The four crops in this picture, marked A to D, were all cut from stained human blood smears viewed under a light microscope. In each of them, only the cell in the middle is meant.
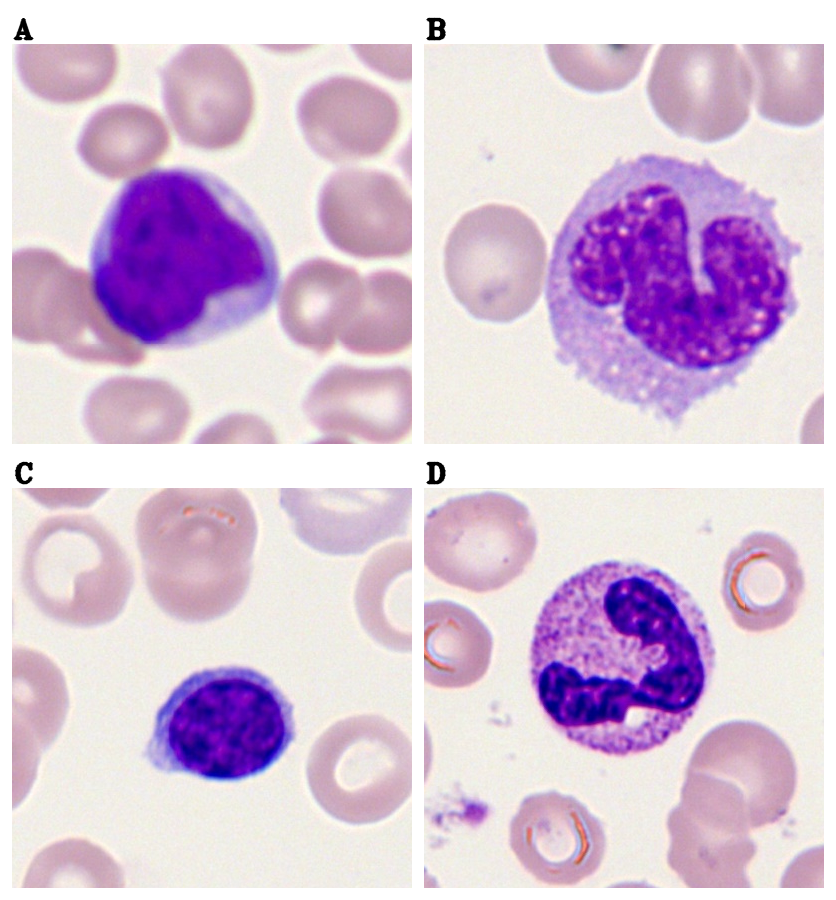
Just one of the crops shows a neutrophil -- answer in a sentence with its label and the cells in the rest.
There is a neutrophil in crop D, while crop A is a blast, crop B is a monocyte and crop C is a lymphocyte.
